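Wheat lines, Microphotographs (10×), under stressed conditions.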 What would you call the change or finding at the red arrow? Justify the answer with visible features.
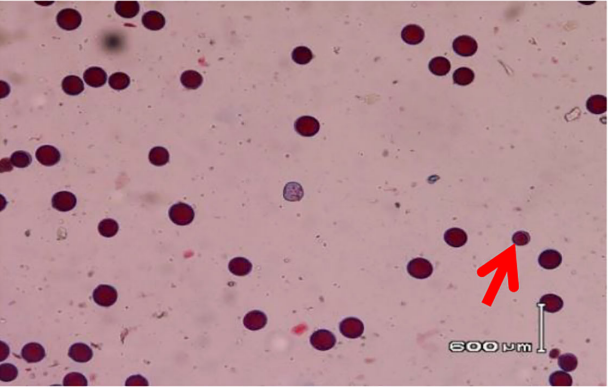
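Smaller size of viable pollen. The arrowed grain is round and stained dark red like its neighbours. The arrowed grain is clearly smaller than the surrounding dark red grains.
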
